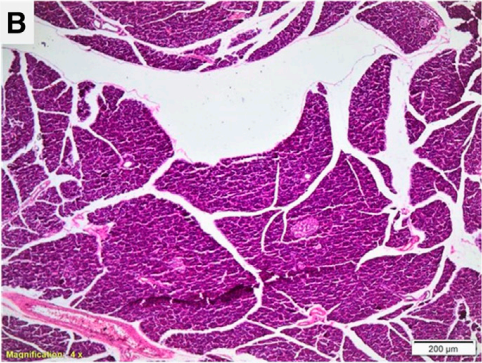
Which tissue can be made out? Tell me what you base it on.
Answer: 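Pancreas. Tissue is divided into lobules by thin clear septa. Lobules are made of densely packed dark purple glandular units. Small pale round areas lie within the lobules.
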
